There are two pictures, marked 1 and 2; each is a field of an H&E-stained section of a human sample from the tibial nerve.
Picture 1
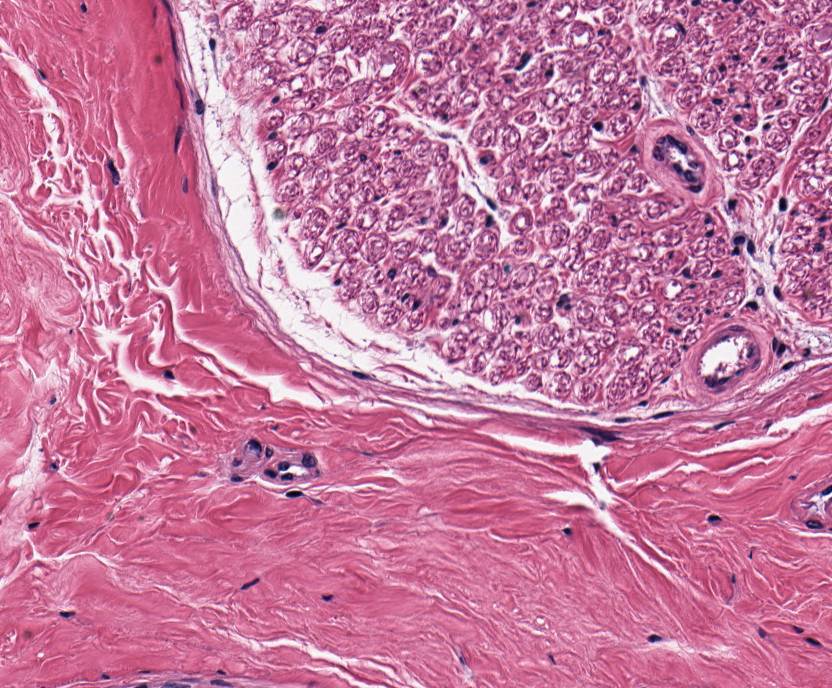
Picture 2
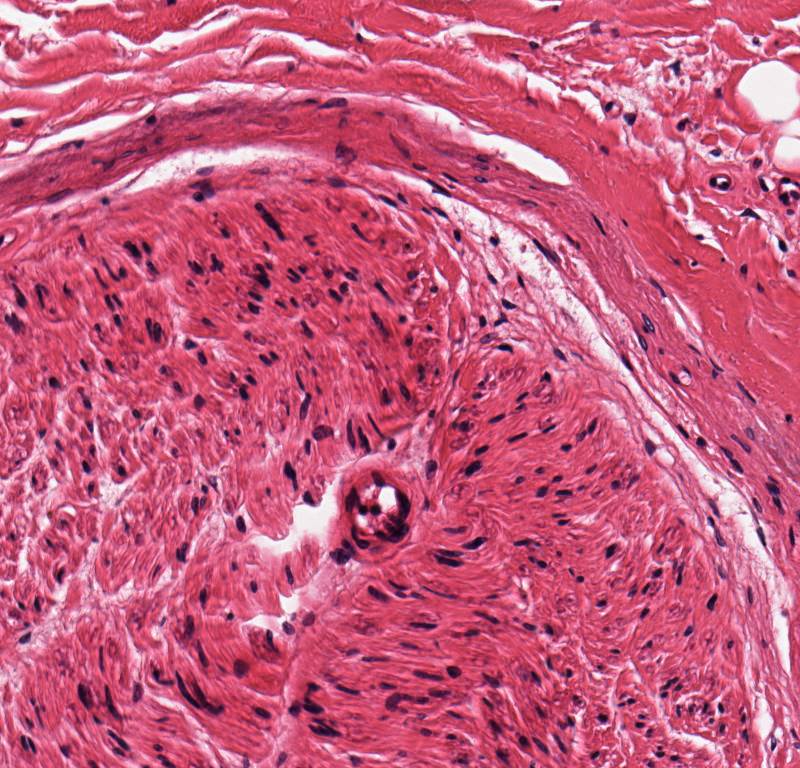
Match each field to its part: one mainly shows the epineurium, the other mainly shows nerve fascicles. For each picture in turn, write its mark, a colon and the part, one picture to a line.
1: epineurium
2: nerve fascicles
